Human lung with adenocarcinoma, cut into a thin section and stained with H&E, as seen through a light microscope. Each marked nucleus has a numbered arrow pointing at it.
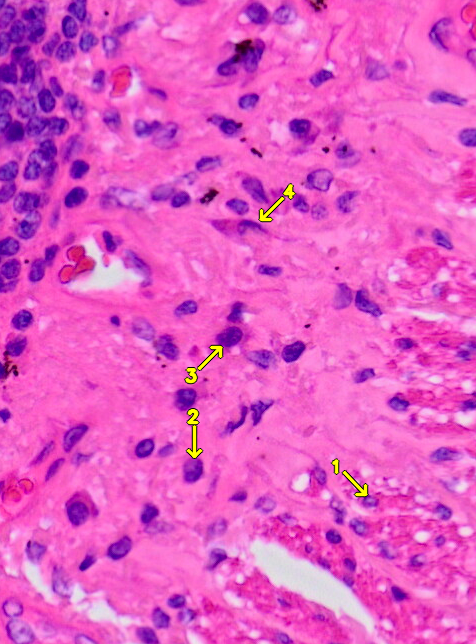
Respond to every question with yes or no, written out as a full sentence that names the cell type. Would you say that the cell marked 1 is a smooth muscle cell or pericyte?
Yes, cell 1 is a smooth muscle cell or pericyte in this tissue section.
